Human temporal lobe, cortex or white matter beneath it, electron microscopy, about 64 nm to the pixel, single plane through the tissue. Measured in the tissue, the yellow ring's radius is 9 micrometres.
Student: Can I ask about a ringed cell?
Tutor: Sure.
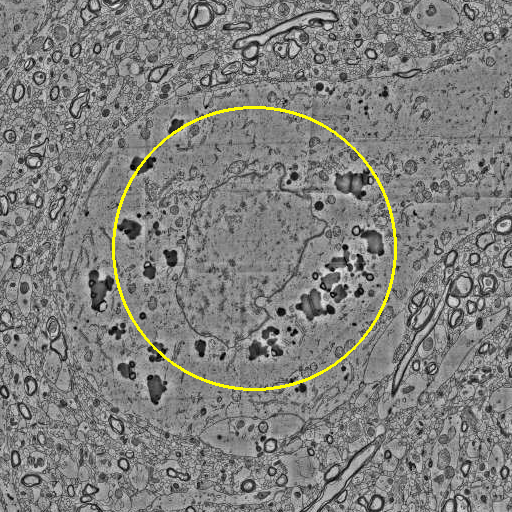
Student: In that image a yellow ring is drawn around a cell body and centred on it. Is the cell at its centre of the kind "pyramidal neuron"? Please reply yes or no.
Yes, the cell is of that kind.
